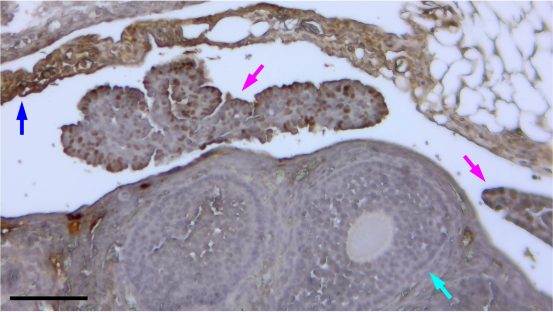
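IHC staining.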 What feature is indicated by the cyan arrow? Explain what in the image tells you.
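The arrow touches the edge of a large round structure made of concentric layers of small cells. A round, pale, homogeneous body sits in the middle of that structure, surrounded by the cell layers.
Conclusion: follicle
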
